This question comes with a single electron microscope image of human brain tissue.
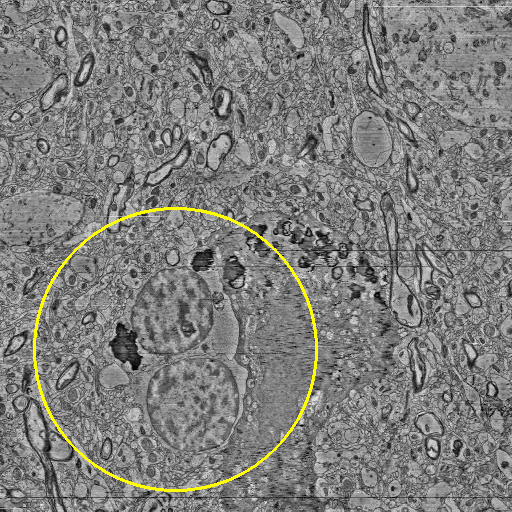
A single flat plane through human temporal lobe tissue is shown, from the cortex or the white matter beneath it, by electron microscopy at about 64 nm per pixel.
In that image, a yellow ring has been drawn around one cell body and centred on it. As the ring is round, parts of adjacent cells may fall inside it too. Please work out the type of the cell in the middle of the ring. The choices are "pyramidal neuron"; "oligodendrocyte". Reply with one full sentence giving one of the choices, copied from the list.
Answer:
Of the choices, an oligodendrocyte is the cell sitting in the middle of the ring.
